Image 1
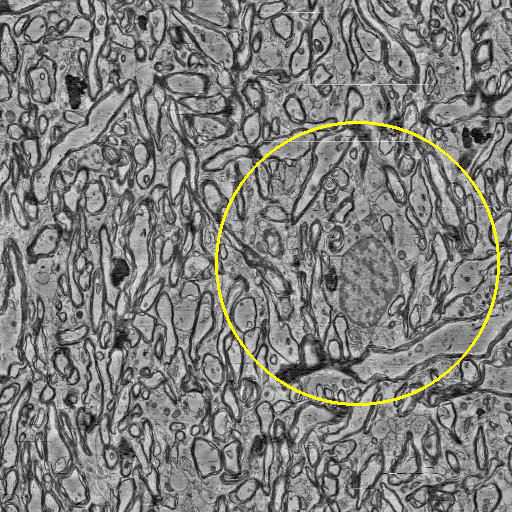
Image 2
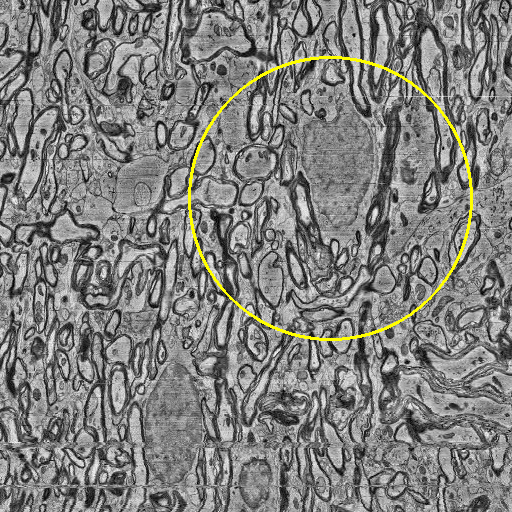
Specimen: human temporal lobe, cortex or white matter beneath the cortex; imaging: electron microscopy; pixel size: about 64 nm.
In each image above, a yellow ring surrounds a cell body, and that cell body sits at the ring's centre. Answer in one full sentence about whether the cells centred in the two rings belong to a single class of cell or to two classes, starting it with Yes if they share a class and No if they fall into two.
Yes, the cells centred in the two yellow rings belong to a single class of cell.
